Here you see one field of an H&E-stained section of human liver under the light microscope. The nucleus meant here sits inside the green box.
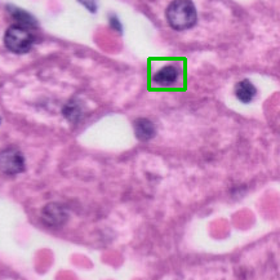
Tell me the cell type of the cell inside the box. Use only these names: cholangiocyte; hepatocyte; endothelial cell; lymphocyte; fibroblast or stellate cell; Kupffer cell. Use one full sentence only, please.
The correct response here is that the cell inside the box is a fibroblast or stellate cell.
